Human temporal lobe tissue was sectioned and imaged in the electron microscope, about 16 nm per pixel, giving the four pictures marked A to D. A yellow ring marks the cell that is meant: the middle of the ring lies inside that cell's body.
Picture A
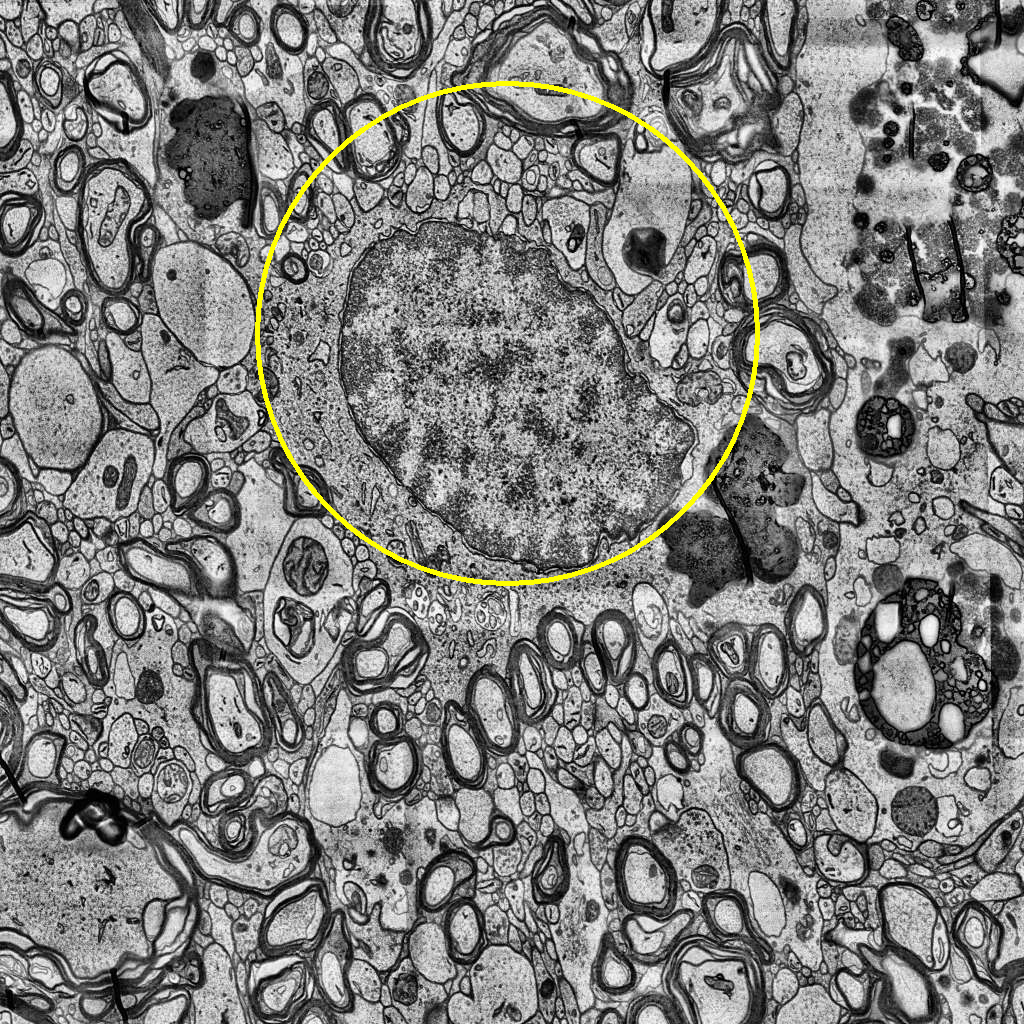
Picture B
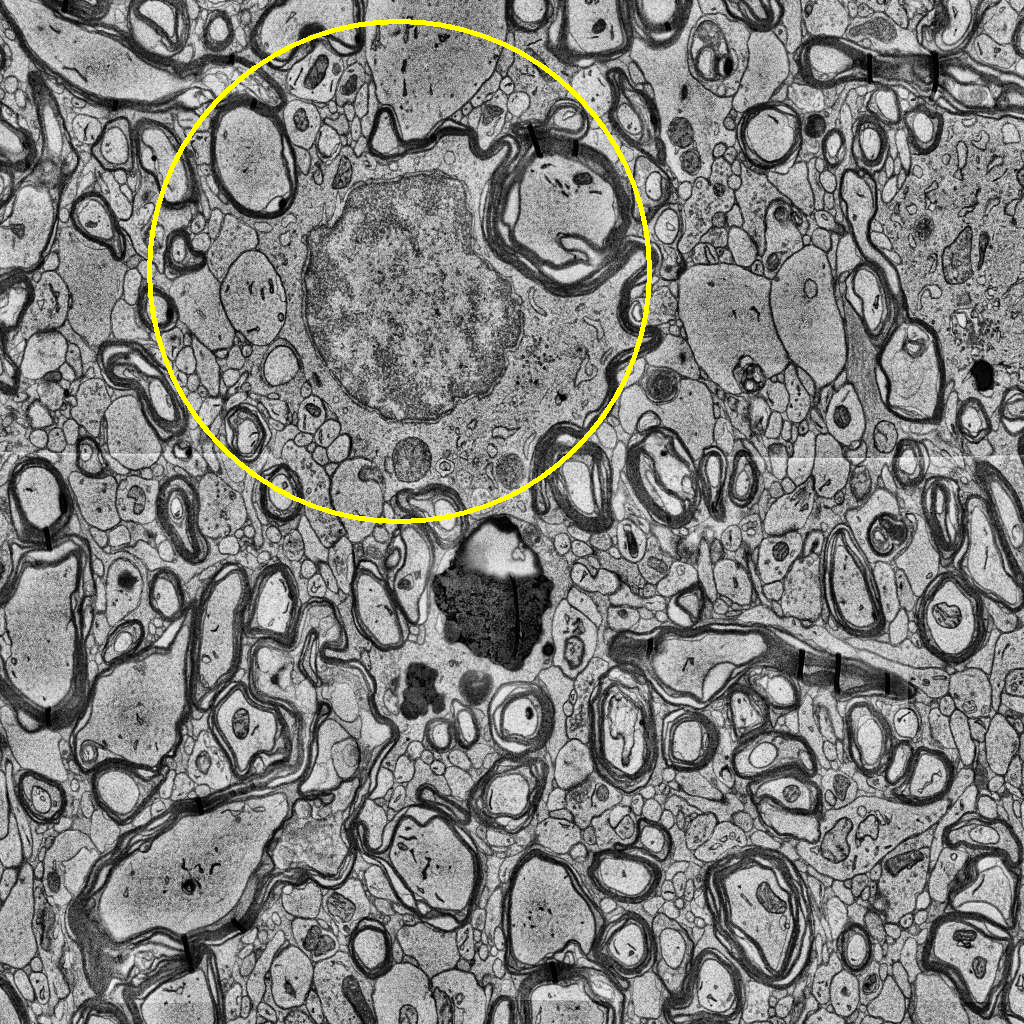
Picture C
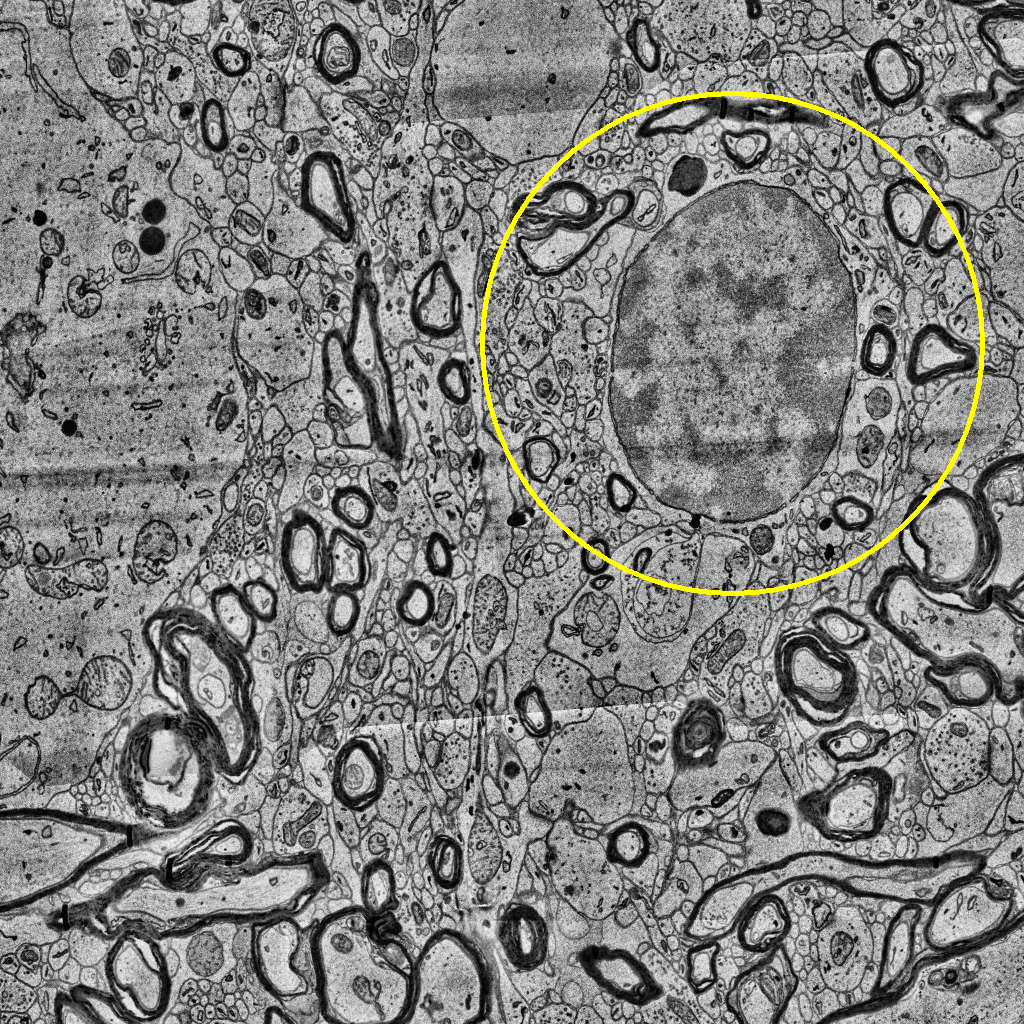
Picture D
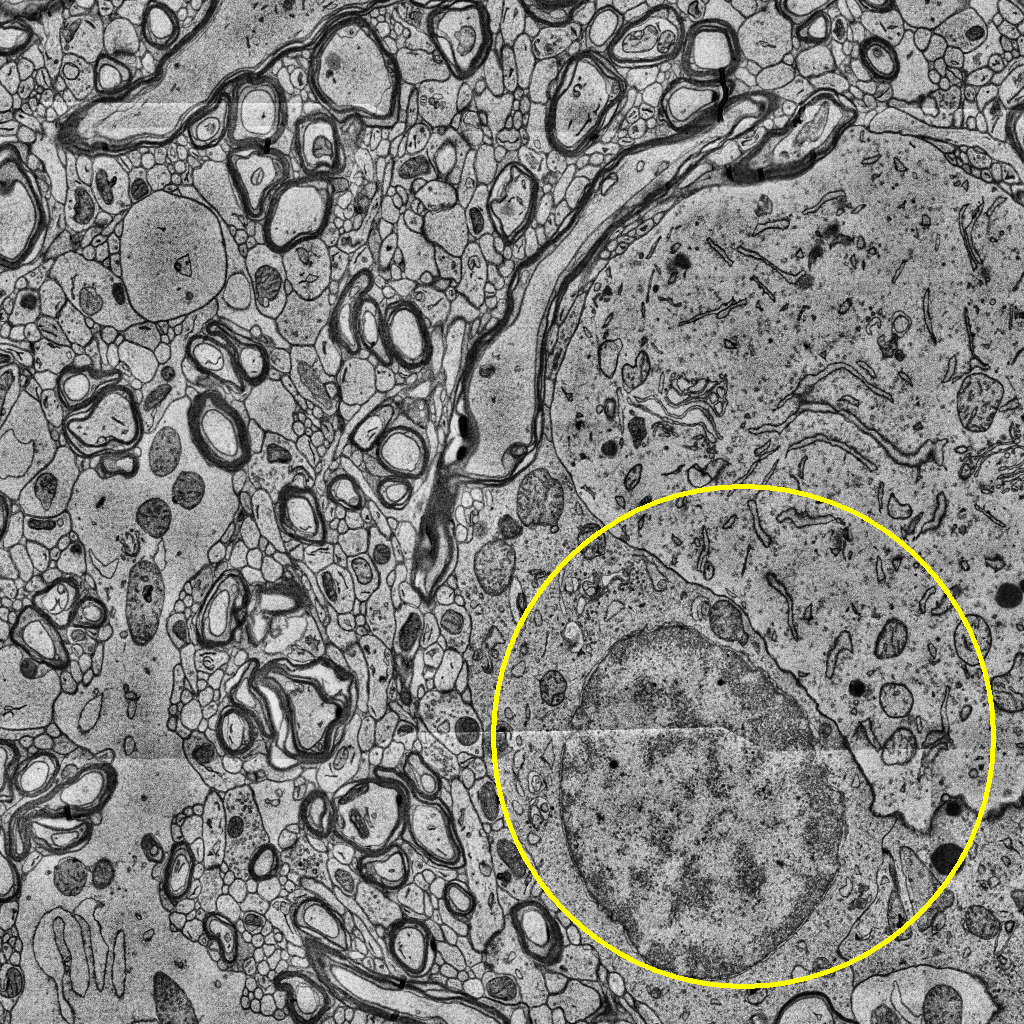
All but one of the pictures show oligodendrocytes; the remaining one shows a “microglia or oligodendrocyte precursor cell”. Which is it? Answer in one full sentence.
It is picture C that shows the “microglia or oligodendrocyte precursor cell”.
